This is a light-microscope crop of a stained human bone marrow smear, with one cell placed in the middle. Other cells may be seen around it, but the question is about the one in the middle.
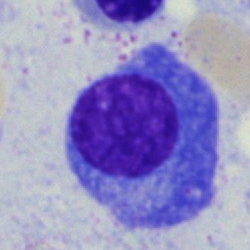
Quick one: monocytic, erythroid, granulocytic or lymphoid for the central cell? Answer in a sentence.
The cell in the middle belongs to the lymphoid lineage.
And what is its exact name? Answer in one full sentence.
The cell found in the middle of this crop is a plasma cell.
